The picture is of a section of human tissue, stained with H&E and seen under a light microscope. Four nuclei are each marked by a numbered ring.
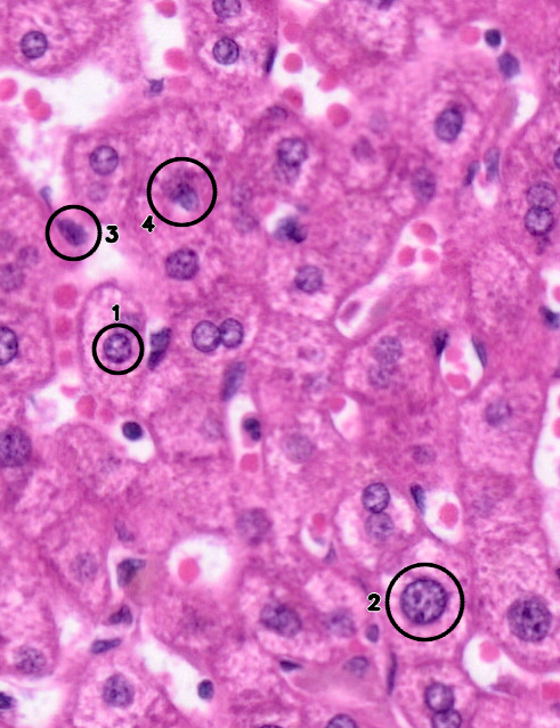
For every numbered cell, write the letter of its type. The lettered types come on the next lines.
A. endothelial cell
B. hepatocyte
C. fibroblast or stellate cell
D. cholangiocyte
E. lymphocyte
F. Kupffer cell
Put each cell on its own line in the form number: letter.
1: B
2: B
3: C
4: A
